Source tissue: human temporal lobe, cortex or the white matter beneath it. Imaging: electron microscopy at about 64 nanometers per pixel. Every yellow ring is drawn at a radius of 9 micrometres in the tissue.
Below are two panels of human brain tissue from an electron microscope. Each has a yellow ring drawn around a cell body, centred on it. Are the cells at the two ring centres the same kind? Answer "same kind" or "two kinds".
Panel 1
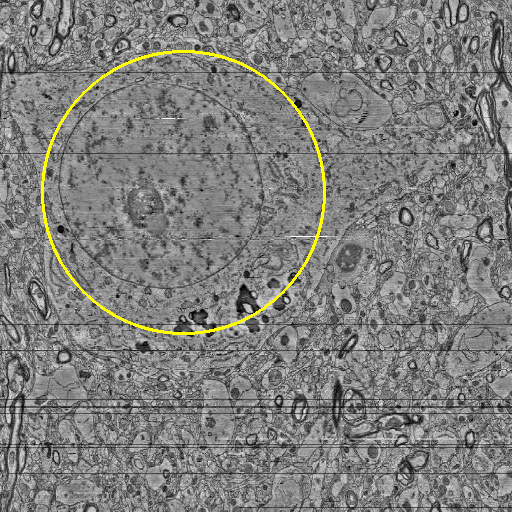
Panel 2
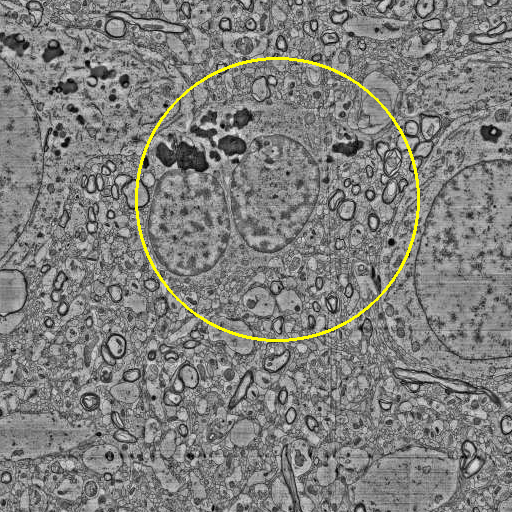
two kinds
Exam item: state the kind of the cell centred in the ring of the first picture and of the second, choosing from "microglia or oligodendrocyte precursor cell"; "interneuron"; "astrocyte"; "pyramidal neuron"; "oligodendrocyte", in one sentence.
The first picture shows a pyramidal neuron at the ring centre and the second shows an oligodendrocyte.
